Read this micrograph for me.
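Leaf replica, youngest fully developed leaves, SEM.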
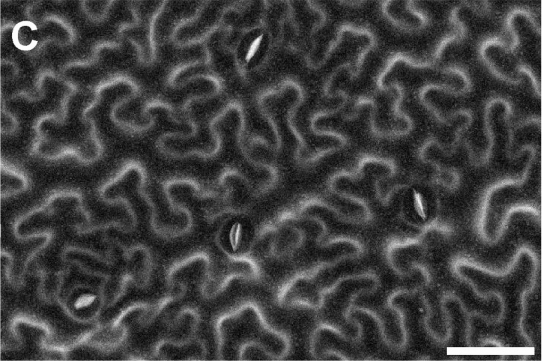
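The epidermal pavement cells interlock like jigsaw pieces, their borders appearing as bright, strongly wavy and lobed lines. Between them lie several small, widely spaced stomata, each seen as a bright lens-shaped body with a central slit, often set in a darker rounded area. The stomata are much smaller than the surrounding pavement cells and are scattered without a regular pattern across the field.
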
